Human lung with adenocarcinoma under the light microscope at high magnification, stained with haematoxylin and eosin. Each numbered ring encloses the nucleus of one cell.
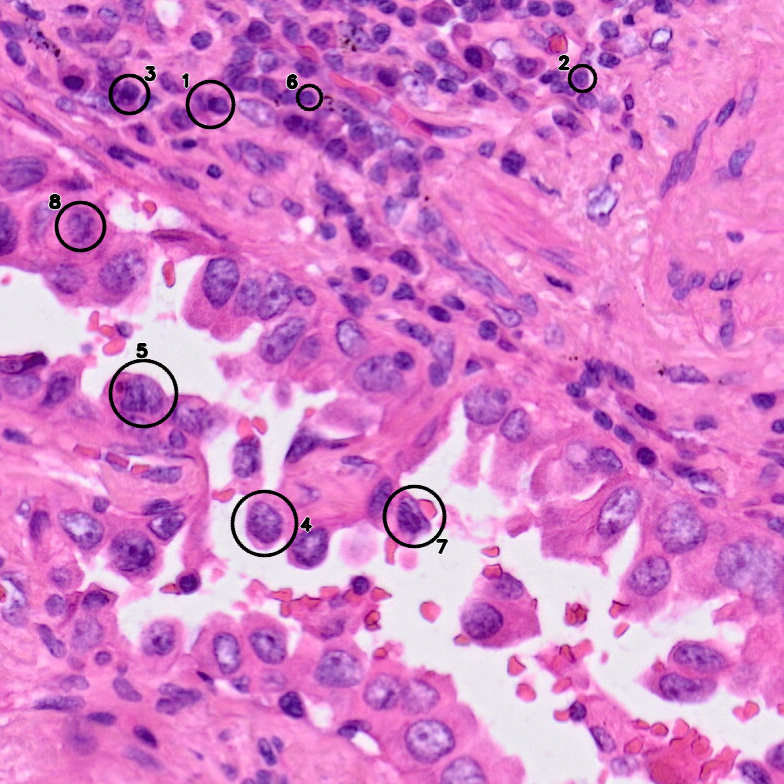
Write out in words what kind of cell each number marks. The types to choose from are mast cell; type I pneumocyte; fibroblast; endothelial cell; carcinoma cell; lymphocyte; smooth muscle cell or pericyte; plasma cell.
Cells 1 and 3 are plasma cells. Cells 2 and 6 are lymphocytes. Cells 4, 5, 7 and 8 are carcinoma cells.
